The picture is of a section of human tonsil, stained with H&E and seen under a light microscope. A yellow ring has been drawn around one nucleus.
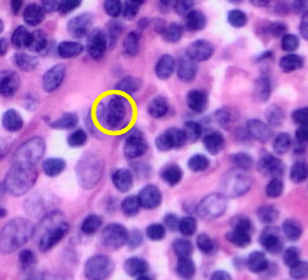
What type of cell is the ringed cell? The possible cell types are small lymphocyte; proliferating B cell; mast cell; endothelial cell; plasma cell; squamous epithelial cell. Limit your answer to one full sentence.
On this particular slide, the ringed cell is an endothelial cell.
